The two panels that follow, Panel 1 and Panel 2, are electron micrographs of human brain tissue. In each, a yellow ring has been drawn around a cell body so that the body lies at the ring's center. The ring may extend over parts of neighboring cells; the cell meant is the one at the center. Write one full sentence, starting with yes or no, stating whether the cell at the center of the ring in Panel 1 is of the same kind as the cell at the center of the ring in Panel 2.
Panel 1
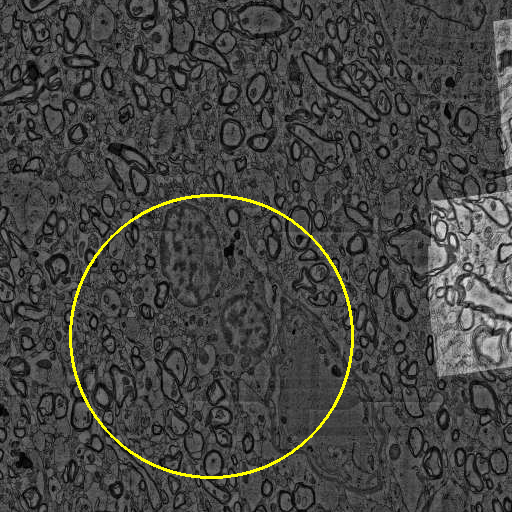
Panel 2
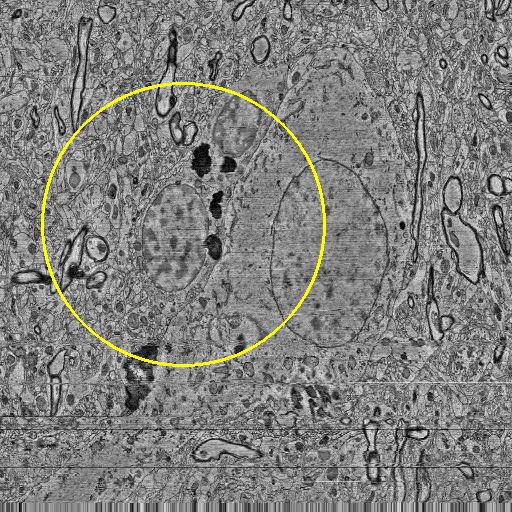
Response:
Yes, the cells in both panels are of the same kind.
